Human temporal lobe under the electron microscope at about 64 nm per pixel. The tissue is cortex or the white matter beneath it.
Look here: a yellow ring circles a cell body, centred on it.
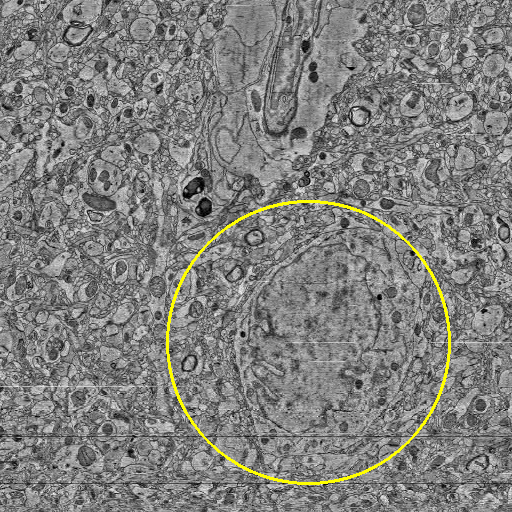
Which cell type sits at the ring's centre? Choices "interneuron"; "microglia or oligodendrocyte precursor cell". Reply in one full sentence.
The cell at the centre of the yellow ring in the picture is an interneuron.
